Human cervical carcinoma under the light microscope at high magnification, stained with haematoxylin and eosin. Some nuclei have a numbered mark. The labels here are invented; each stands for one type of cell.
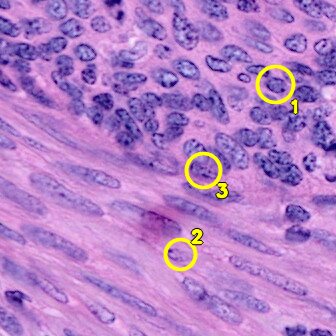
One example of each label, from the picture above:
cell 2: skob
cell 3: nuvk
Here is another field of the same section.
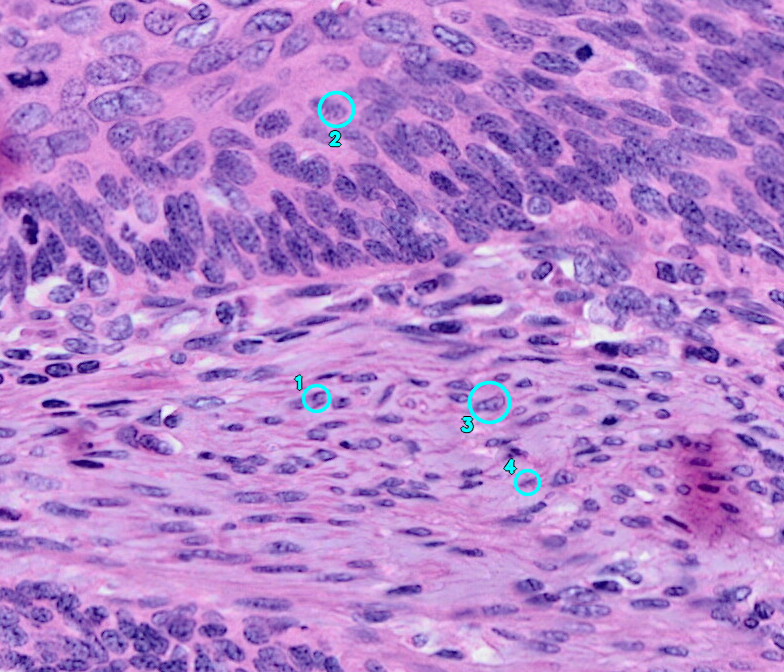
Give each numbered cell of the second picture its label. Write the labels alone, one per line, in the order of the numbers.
skob
nuvk
skob
skob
